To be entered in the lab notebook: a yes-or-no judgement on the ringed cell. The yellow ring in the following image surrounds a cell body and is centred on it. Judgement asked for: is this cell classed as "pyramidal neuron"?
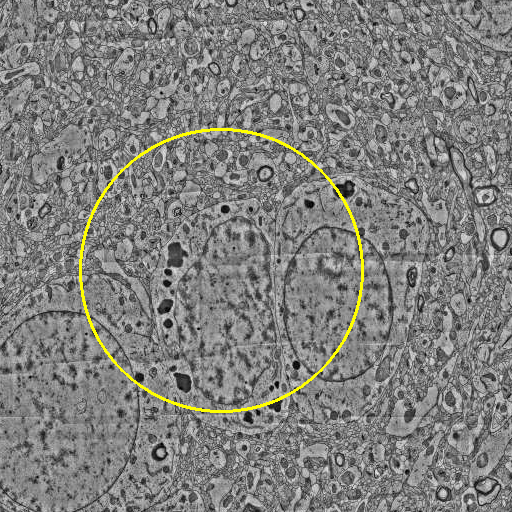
No, it falls in another class.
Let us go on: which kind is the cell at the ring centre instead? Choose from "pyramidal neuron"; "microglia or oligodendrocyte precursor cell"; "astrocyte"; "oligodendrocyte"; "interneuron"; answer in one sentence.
Sitting at the ring centre is an interneuron.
